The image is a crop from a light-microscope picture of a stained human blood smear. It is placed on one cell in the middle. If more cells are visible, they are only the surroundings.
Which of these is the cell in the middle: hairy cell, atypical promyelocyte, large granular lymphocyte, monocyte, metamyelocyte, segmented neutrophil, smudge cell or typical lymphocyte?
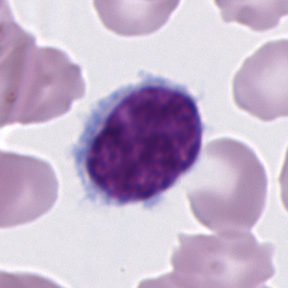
hairy cell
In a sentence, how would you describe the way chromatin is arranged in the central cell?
The chromatin within its nucleus forms coarse clumps.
